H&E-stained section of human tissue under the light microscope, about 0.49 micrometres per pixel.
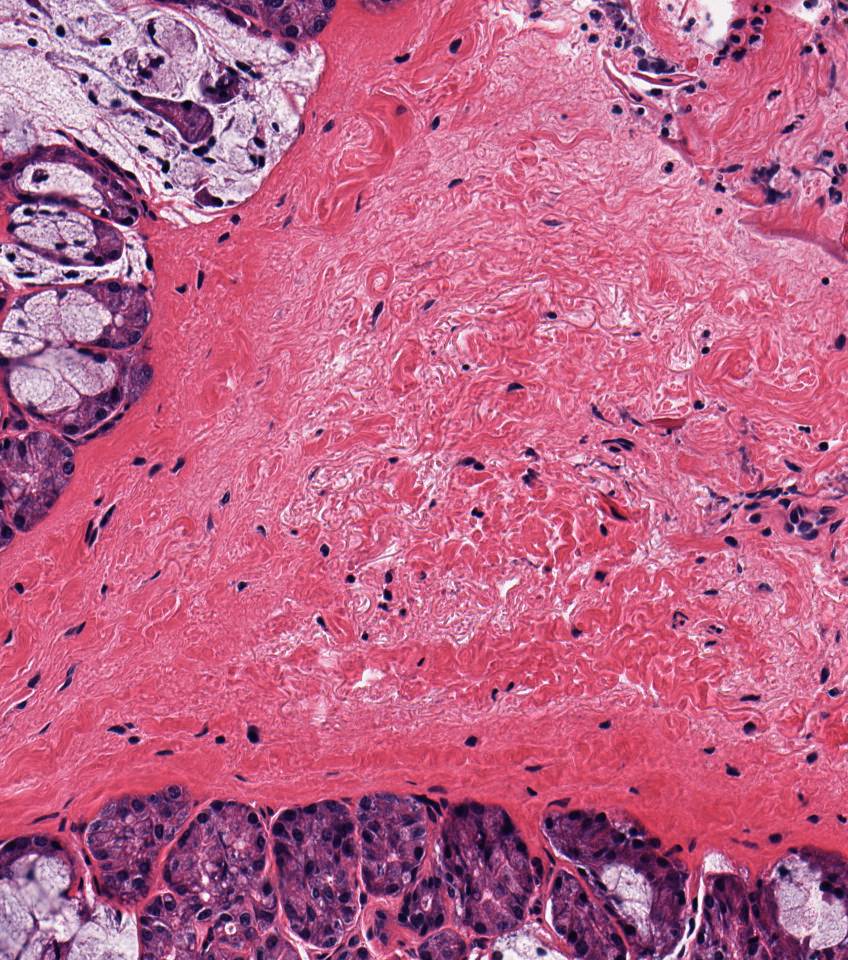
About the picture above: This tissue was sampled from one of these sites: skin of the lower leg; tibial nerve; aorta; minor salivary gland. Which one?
minor salivary gland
